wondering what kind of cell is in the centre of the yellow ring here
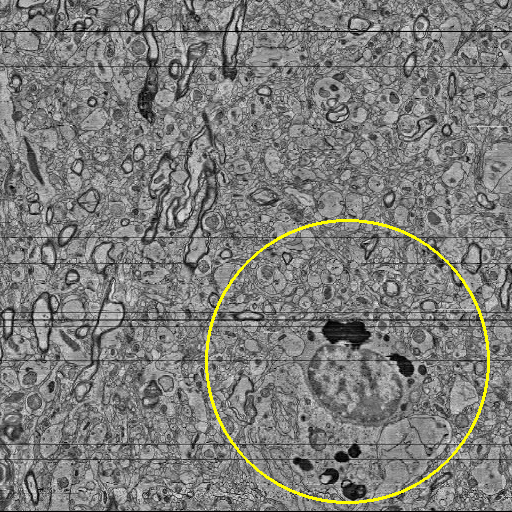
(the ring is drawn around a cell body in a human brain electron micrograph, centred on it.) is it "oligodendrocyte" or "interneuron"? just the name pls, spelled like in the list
oligodendrocyte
